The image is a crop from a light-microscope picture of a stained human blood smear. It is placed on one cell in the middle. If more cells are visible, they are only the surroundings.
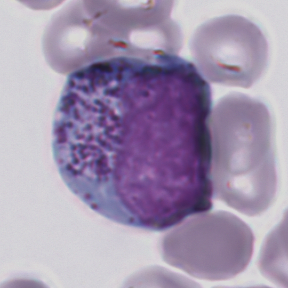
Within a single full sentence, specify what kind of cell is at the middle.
The cell of interest, located centrally, is a promyelocyte.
